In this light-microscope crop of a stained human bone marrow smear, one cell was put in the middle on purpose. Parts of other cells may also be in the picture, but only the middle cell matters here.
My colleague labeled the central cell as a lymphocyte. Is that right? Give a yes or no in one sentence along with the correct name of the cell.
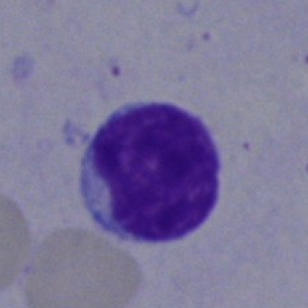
Yes, that is a lymphocyte in the middle of the crop.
